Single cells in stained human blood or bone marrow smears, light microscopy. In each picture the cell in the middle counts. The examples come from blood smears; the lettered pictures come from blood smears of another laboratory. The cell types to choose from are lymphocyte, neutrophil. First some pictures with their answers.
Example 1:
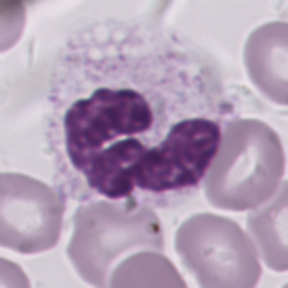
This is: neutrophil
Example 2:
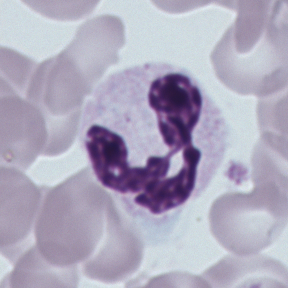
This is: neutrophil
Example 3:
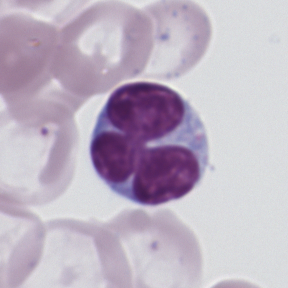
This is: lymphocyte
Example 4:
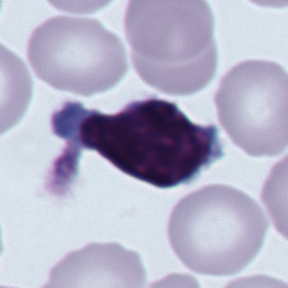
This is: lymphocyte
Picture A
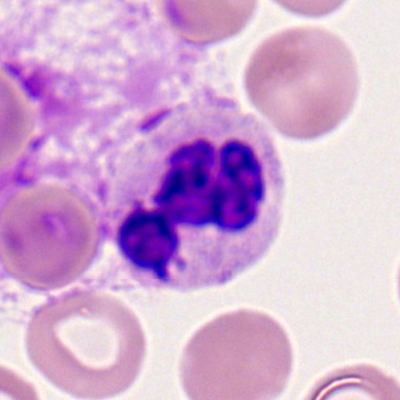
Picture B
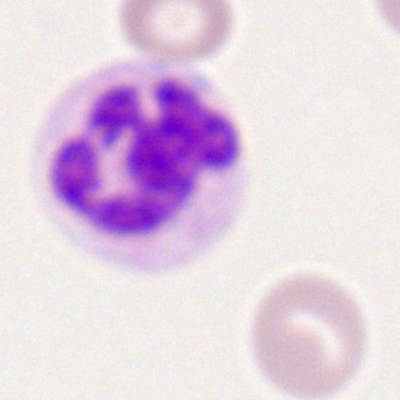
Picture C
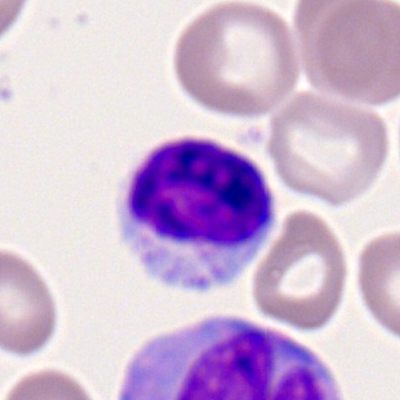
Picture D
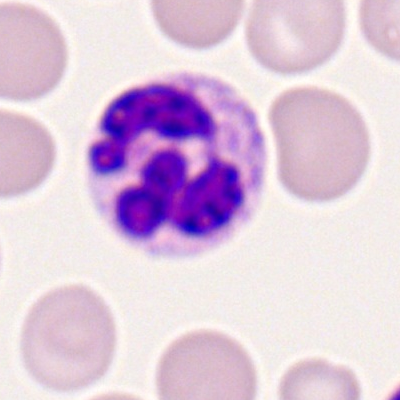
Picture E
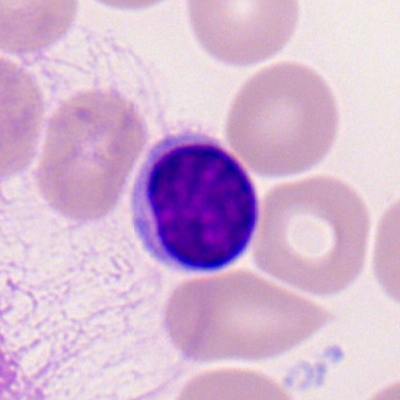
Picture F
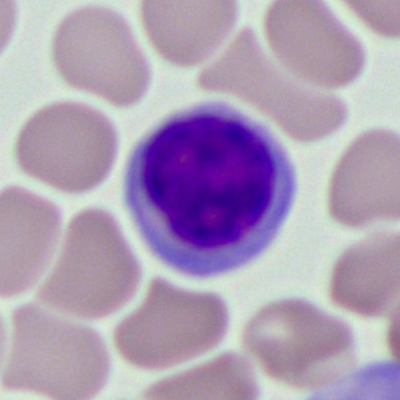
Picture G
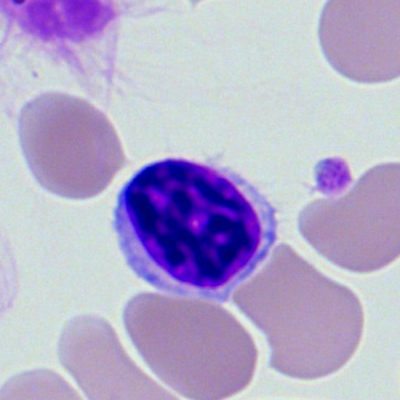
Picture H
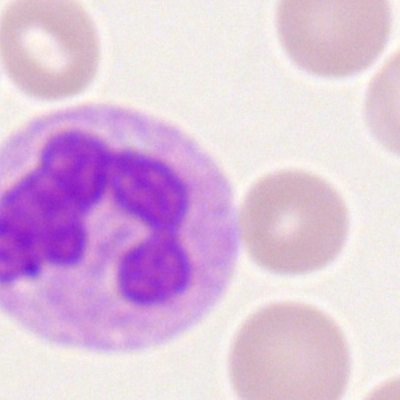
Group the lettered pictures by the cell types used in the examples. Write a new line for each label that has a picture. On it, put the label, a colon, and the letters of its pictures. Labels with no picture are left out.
lymphocyte: C, E, F, G
neutrophil: A, B, D, H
